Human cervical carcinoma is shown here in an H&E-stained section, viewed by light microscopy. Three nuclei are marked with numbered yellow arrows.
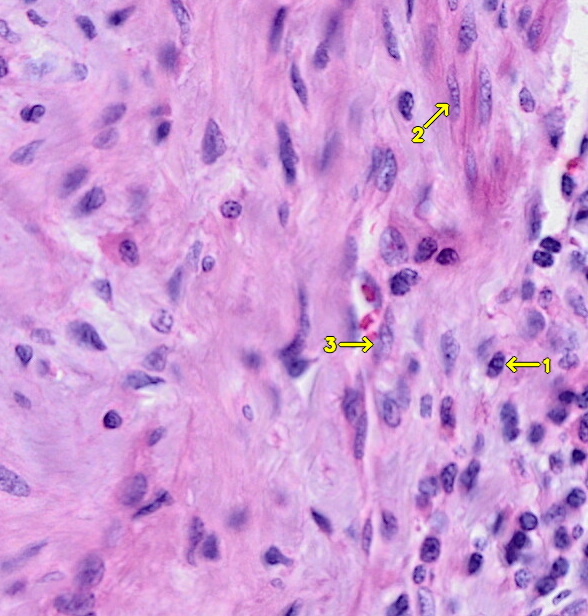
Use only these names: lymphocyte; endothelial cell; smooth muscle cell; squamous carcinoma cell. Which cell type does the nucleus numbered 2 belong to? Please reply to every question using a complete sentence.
In this section, the cell tagged 2 is a smooth muscle cell.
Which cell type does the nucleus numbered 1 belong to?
The nucleus marked 1 is the nucleus of a lymphocyte.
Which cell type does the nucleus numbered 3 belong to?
The cell that is numbered 3 is an endothelial cell.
